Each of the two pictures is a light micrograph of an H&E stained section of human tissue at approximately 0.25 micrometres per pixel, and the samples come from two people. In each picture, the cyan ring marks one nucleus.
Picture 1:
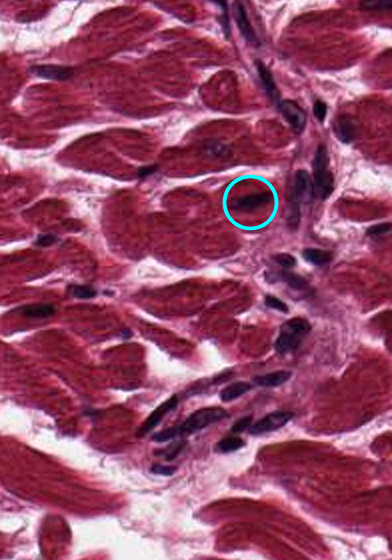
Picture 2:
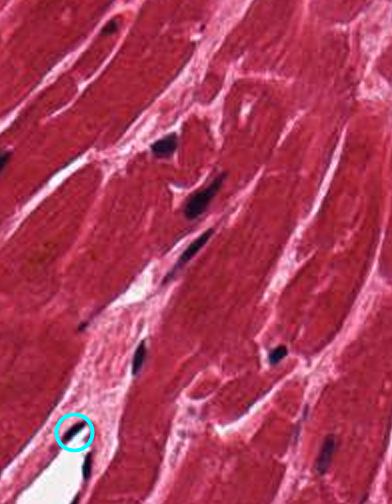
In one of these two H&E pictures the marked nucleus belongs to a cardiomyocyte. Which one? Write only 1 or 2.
1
